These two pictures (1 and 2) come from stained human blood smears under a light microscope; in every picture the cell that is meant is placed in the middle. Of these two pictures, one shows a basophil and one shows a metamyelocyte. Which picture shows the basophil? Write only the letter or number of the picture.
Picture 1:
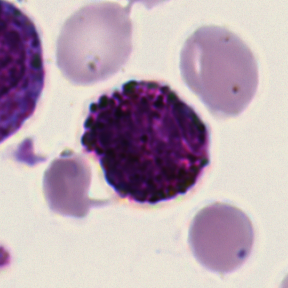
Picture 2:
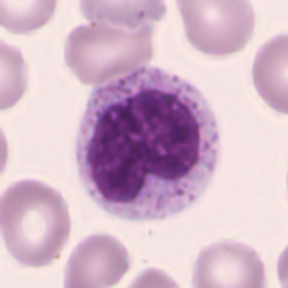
1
